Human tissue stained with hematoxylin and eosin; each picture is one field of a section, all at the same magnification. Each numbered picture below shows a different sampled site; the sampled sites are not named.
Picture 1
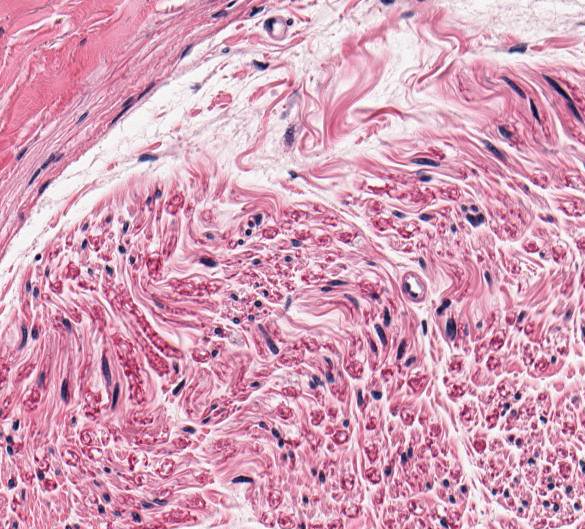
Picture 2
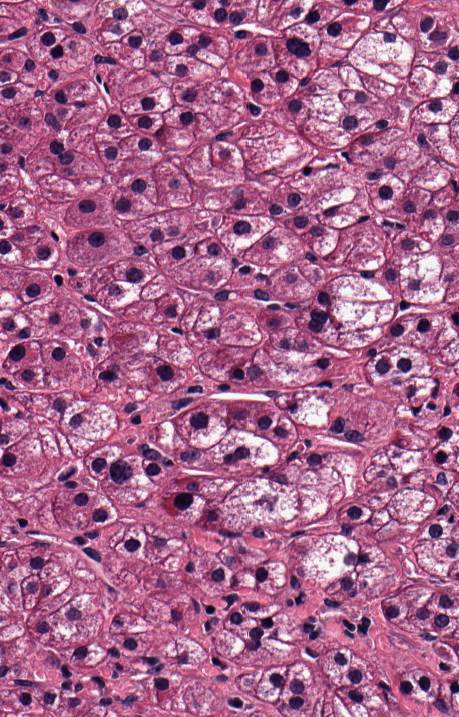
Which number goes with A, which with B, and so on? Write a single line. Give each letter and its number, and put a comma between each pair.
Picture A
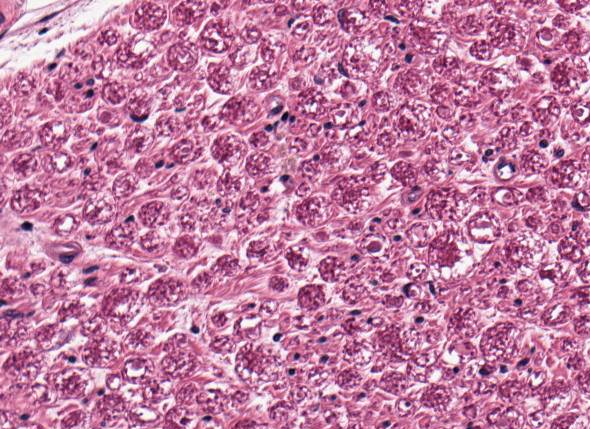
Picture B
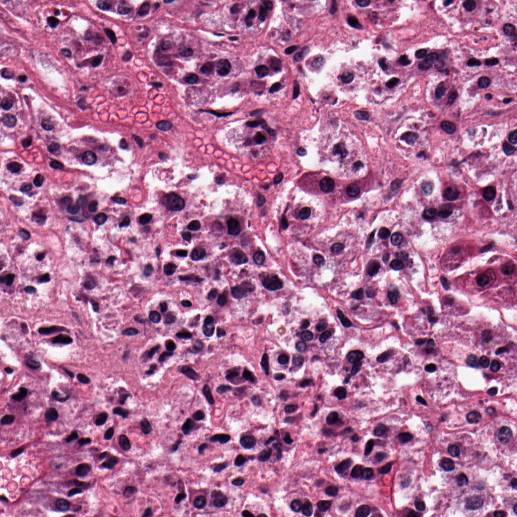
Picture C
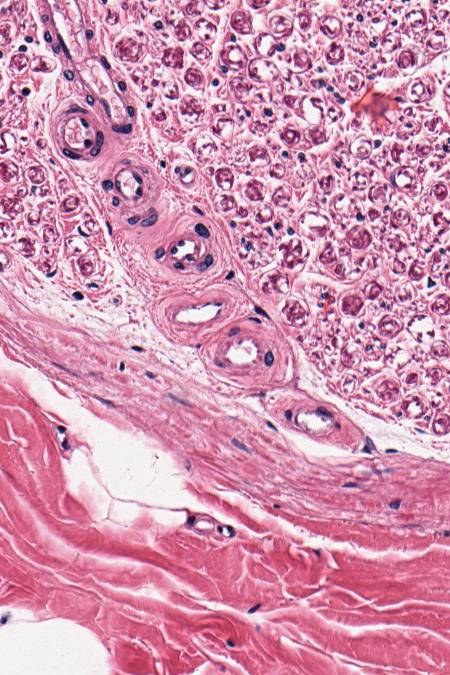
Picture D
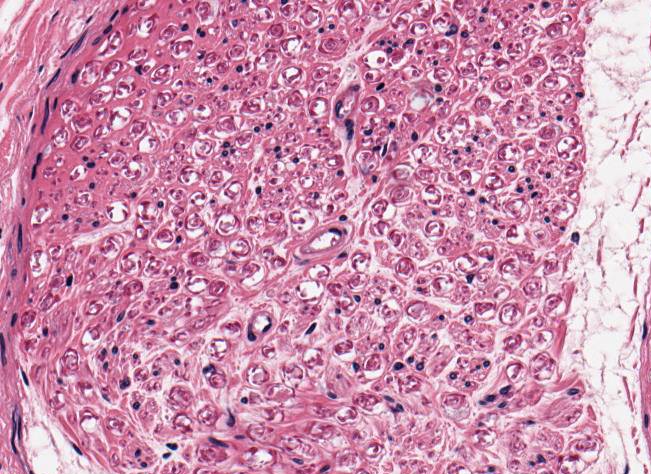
A 1, B 2, C 1, D 1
